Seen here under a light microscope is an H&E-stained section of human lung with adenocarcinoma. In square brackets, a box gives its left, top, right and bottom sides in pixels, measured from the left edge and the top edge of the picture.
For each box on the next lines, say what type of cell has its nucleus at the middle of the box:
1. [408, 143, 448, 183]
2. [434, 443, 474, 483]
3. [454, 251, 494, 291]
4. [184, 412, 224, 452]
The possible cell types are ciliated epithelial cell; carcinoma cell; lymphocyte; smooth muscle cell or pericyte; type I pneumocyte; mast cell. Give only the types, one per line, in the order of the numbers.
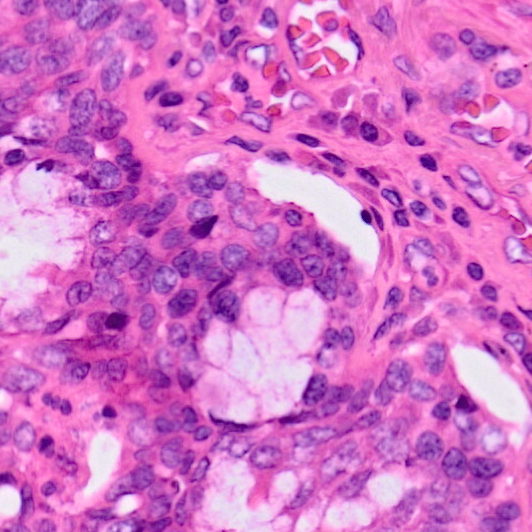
lymphocyte
ciliated epithelial cell
mast cell
ciliated epithelial cell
